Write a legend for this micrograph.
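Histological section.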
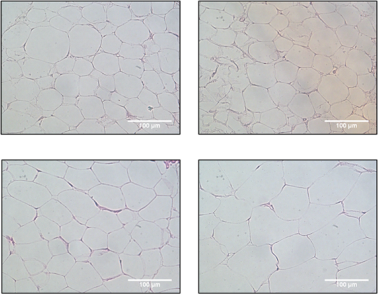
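Four brightfield fields of adipose tissue made up almost entirely of adipocytes. Each adipocyte is a large, clear, rounded to polygonal space bounded by a thin pale pink rim, and neighbouring cells share these rims in a honeycomb-like network. The interiors look empty where the lipid has been lost. Cell sizes vary between fields, and in some fields the cells are noticeably larger, with fewer cells in the frame.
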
